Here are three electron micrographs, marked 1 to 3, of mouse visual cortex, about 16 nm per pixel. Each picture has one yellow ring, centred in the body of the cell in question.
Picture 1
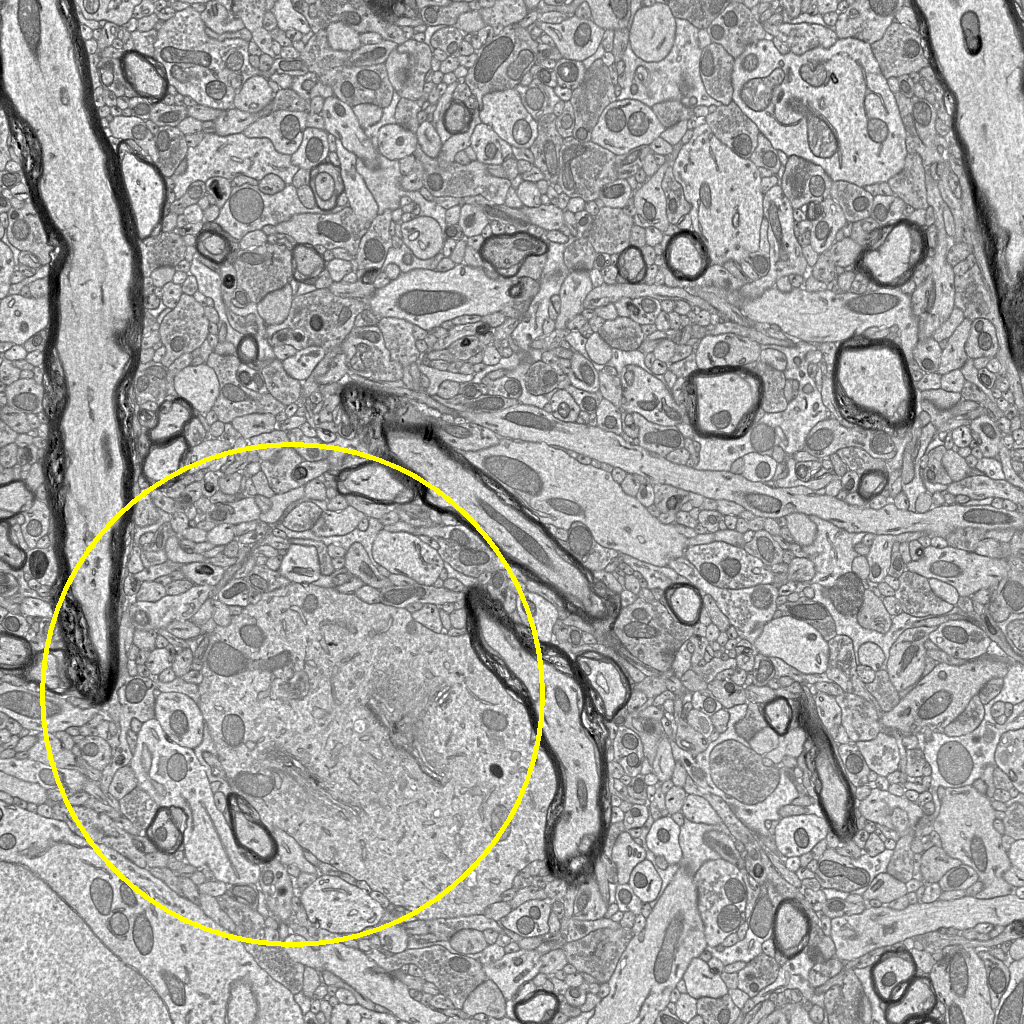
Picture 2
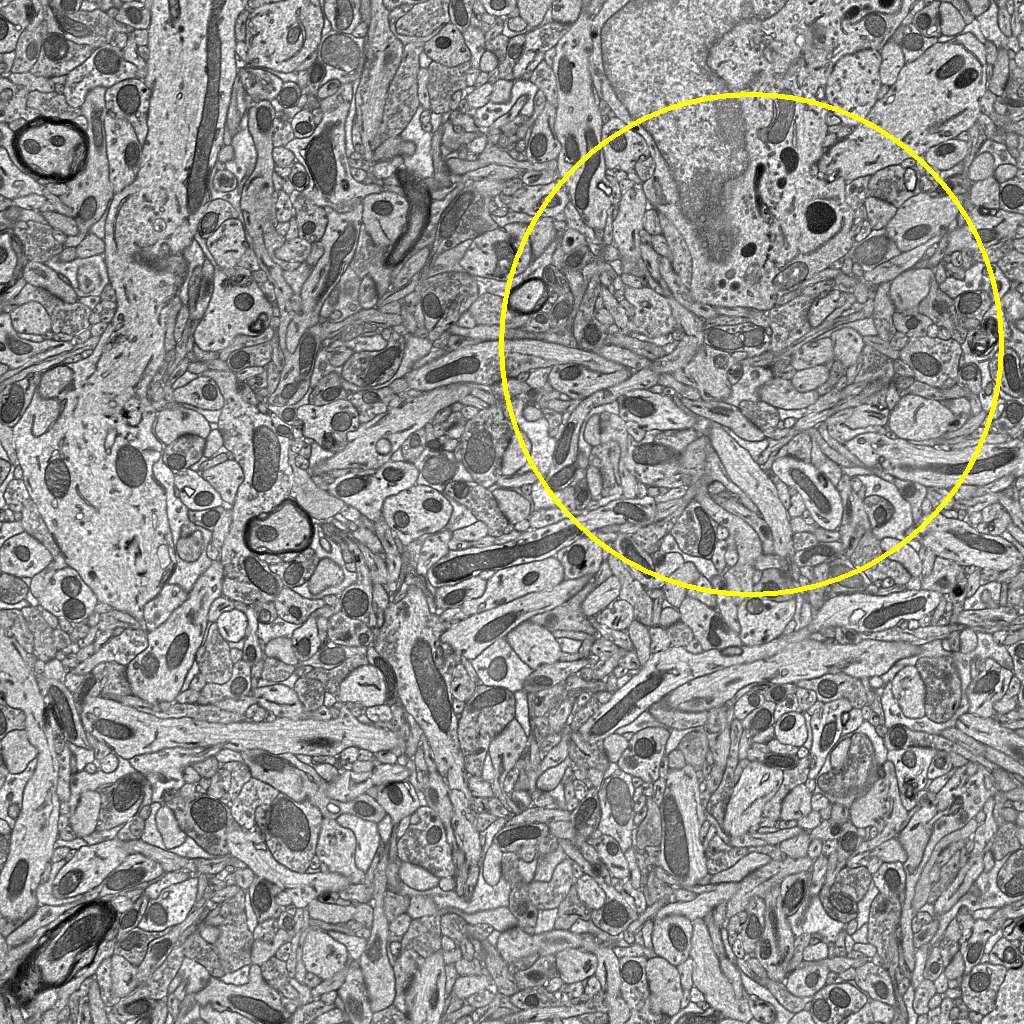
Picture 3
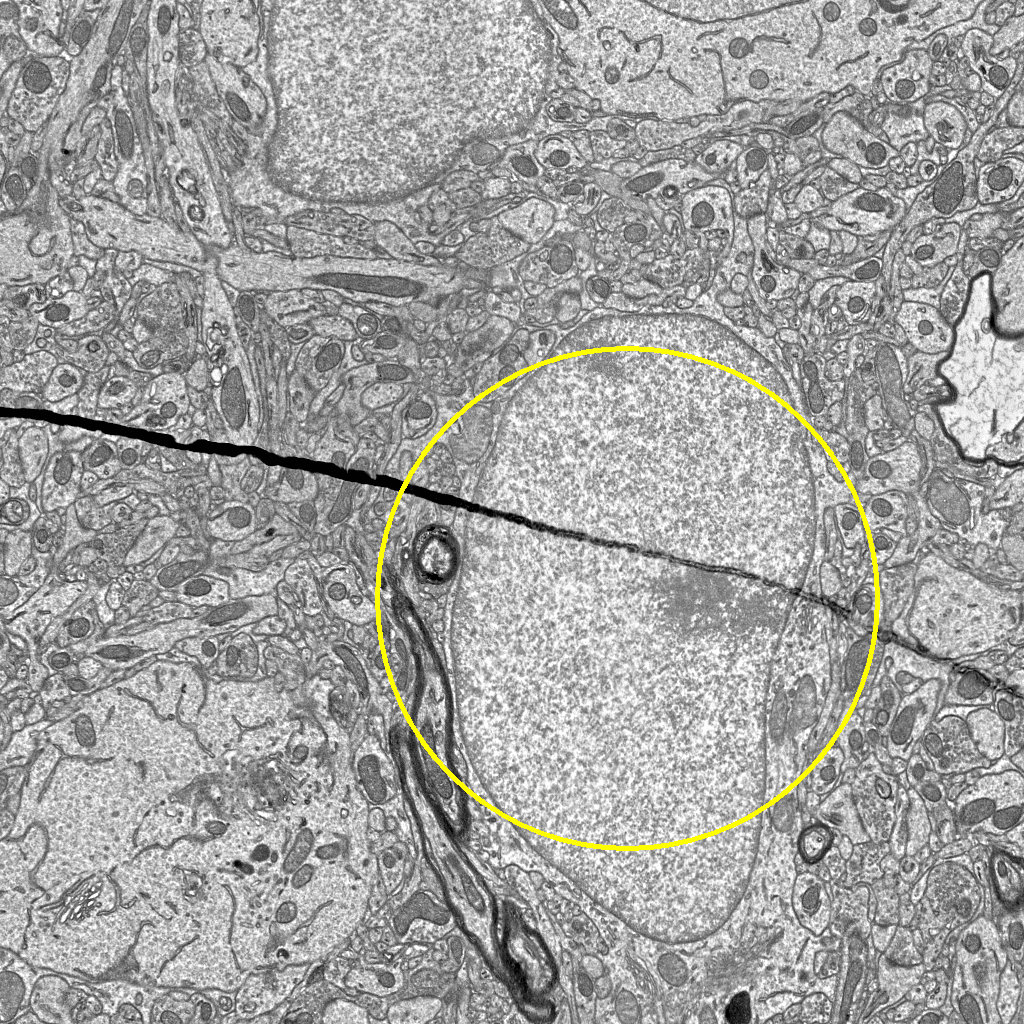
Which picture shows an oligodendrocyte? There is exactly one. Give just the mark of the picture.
1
